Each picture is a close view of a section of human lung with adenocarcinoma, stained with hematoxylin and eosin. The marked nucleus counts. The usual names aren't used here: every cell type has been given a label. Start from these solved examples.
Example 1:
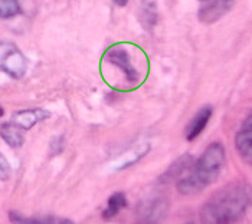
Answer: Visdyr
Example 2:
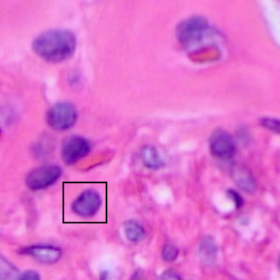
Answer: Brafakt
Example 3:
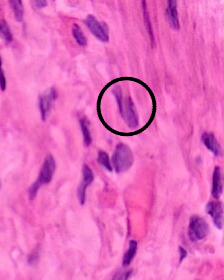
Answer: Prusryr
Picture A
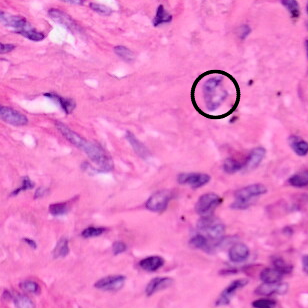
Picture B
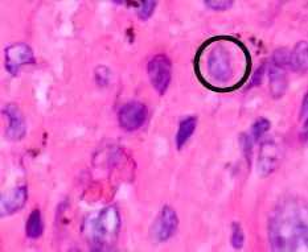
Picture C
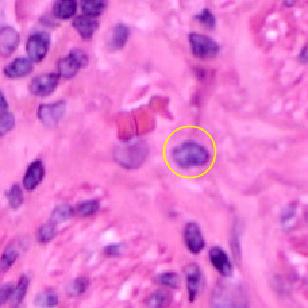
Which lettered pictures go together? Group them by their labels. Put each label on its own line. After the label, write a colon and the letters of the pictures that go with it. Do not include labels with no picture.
Brafakt: C
Prusryr: A, B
